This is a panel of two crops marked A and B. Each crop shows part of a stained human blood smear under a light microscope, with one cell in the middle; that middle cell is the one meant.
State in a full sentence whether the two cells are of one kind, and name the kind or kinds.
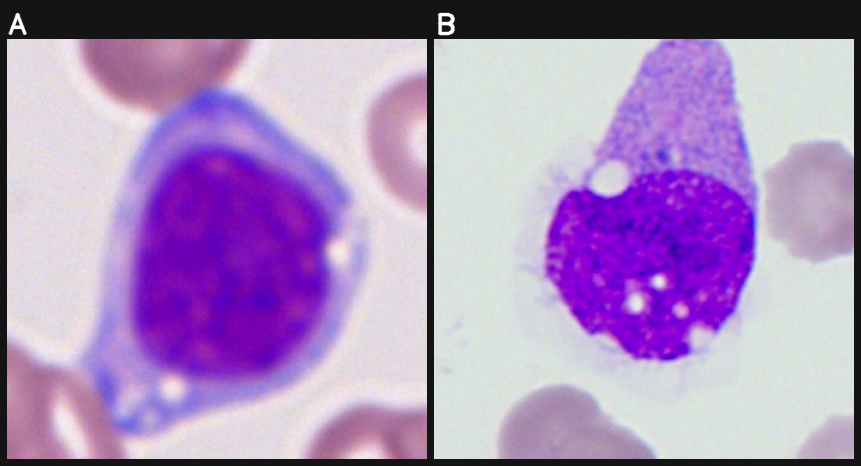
Yes, in the middle of both crops lie monocytes.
